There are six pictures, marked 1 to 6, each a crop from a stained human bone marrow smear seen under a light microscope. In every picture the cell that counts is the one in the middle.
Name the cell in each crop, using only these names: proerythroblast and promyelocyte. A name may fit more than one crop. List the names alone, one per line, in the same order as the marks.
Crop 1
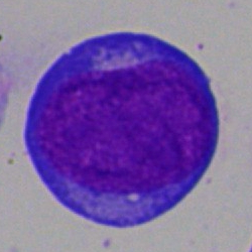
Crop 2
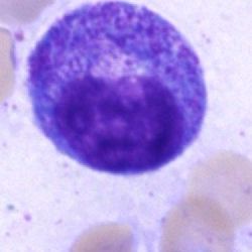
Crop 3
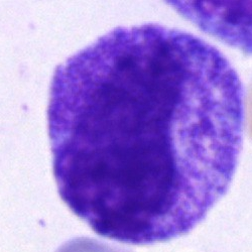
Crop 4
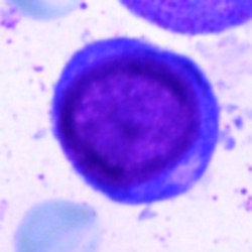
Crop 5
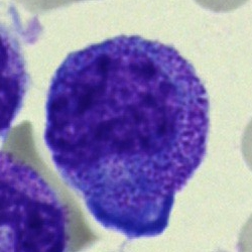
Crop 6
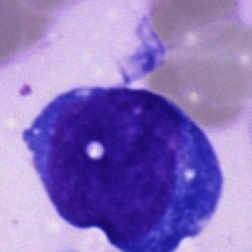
proerythroblast
promyelocyte
promyelocyte
proerythroblast
promyelocyte
proerythroblast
